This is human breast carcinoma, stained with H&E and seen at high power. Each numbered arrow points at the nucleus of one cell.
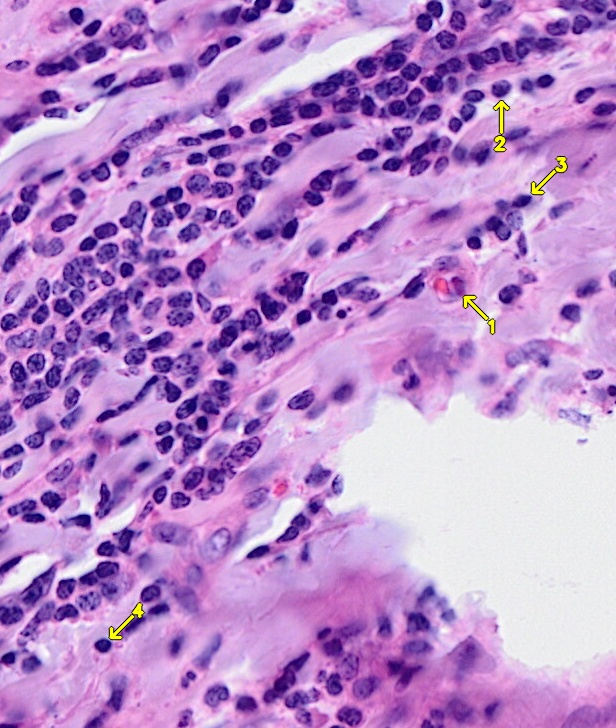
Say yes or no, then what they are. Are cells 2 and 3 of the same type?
Yes, the cells numbered 2 and 3 are both lymphocytes.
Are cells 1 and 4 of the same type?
No, the cell marked 1 is an endothelial cell, and the cell marked 4 is a lymphocyte.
